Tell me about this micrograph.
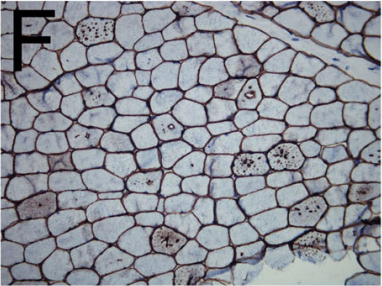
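Pale polygonal muscle fibers in cross section are each outlined by a continuous brown rim, and several fibers contain clusters of brown dots and small brown-ringed holes within their cytoplasm. The brown rim lies on the myofiber membrane, and the brown inside the fibers lines vacuoles.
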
